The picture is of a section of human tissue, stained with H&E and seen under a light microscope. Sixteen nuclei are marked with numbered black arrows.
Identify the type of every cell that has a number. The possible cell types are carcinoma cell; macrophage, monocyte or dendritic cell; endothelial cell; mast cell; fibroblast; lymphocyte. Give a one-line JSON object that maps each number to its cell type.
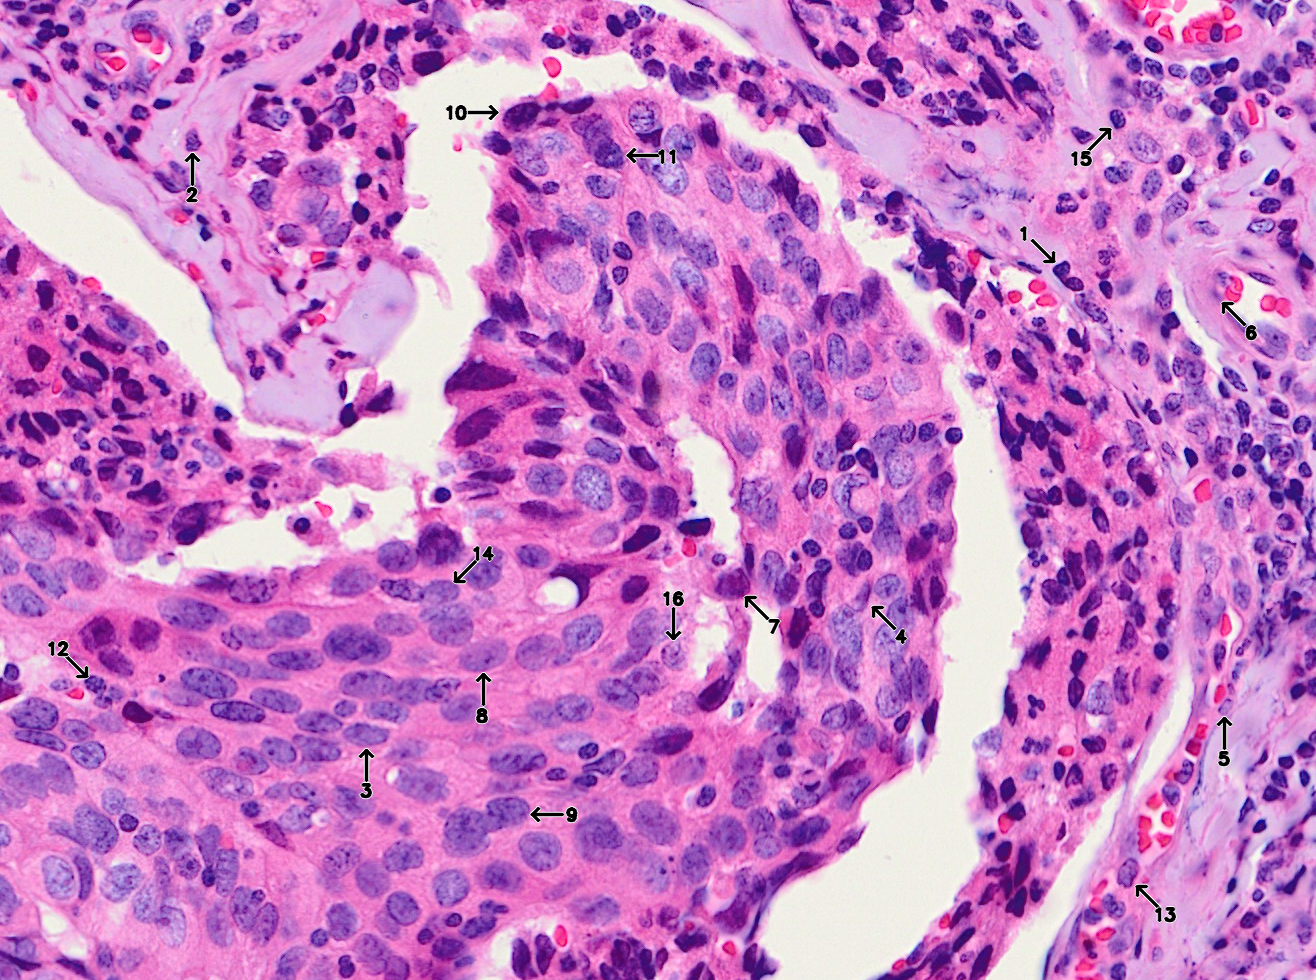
{"1": "lymphocyte", "2": "mast cell", "3": "carcinoma cell", "4": "carcinoma cell", "5": "endothelial cell", "6": "endothelial cell", "7": "carcinoma cell", "8": "carcinoma cell", "9": "carcinoma cell", "10": "carcinoma cell", "11": "carcinoma cell", "12": "lymphocyte", "13": "endothelial cell", "14": "carcinoma cell", "15": "lymphocyte", "16": "carcinoma cell"}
